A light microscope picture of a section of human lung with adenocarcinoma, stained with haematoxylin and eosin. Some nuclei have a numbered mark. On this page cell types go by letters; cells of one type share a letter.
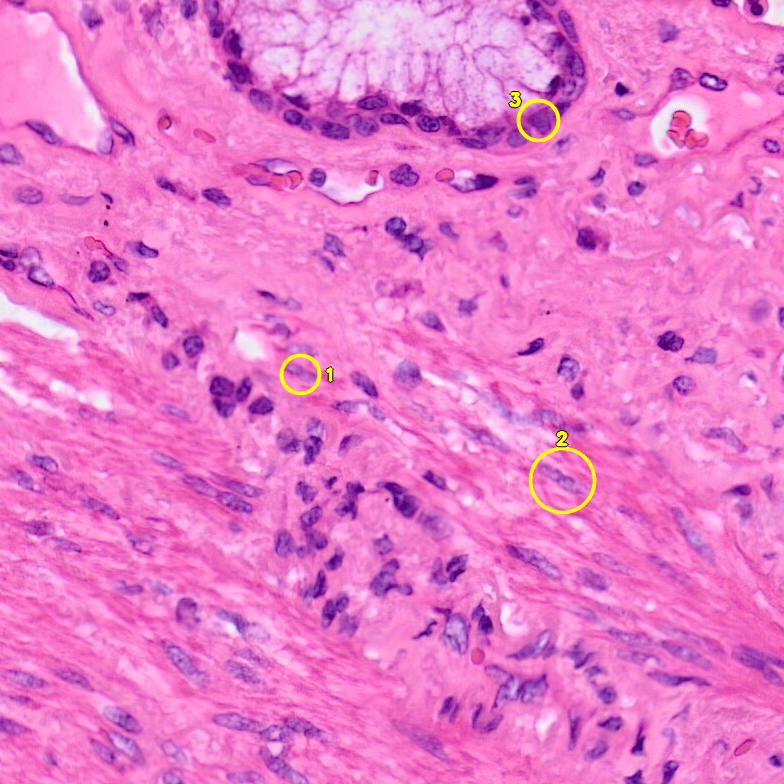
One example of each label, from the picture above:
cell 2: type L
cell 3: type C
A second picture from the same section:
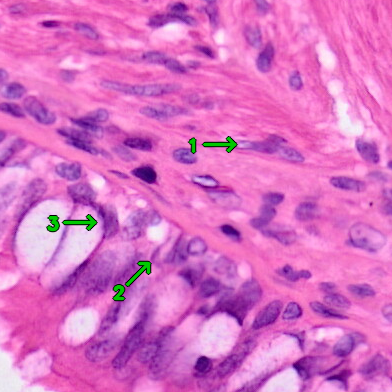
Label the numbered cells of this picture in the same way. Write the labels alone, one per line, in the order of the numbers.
type L
type C
type C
